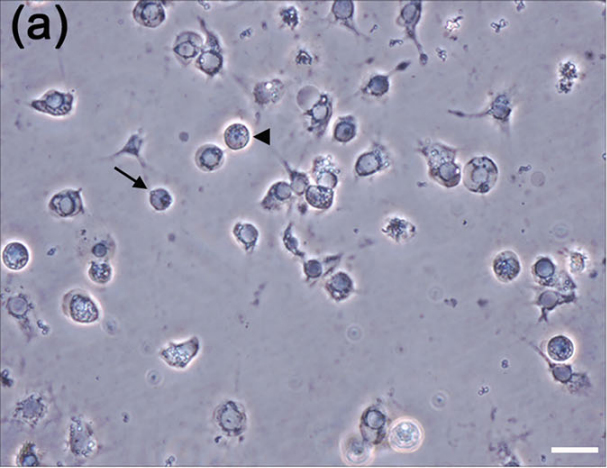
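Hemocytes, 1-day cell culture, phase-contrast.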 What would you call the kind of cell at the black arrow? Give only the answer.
hyalinocytes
